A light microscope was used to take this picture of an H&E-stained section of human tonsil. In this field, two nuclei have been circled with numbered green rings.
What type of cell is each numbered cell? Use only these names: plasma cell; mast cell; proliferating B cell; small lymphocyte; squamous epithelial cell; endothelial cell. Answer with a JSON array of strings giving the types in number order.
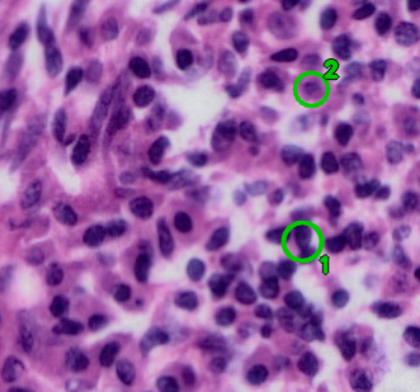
["small lymphocyte", "plasma cell"]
